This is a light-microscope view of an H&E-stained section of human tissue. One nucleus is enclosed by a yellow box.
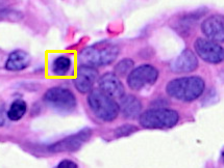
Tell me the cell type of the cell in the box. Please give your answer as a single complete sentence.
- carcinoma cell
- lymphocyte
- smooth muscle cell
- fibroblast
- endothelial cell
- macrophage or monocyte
As a matter of cell type, the cell in the box is a lymphocyte.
